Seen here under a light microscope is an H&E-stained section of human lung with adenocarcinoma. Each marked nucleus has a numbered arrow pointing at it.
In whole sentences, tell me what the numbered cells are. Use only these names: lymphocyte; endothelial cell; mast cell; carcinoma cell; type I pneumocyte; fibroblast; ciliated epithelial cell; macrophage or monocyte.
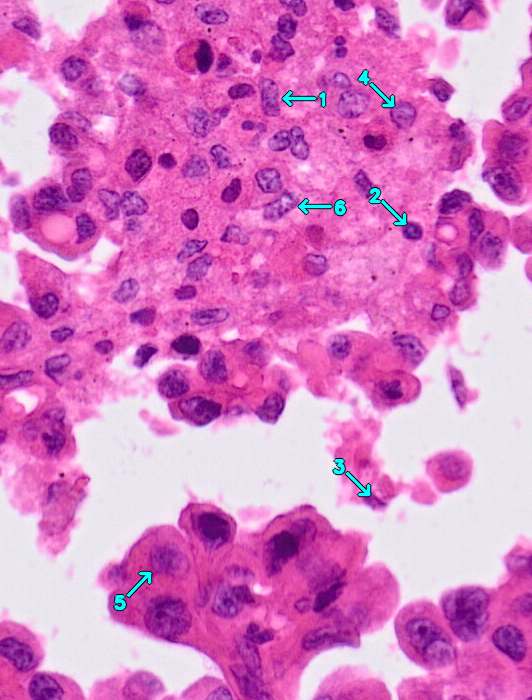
Cell 1 is a macrophage or monocyte, cell 2 is a lymphocyte, cell 3 is a macrophage or monocyte, cell 4 is a macrophage or monocyte, cell 5 is a carcinoma cell and cell 6 is a macrophage or monocyte.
